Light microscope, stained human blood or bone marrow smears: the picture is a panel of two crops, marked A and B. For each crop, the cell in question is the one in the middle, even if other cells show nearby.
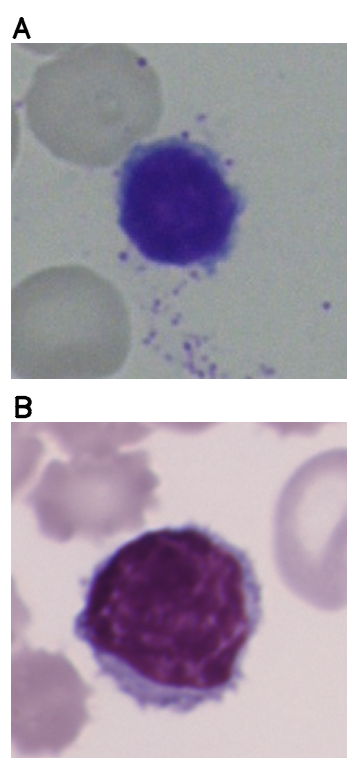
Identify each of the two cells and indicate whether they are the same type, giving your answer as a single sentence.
Yes, the reply for both crops is lymphocytes.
